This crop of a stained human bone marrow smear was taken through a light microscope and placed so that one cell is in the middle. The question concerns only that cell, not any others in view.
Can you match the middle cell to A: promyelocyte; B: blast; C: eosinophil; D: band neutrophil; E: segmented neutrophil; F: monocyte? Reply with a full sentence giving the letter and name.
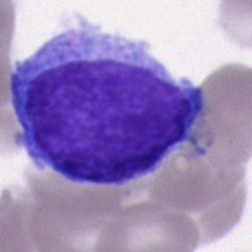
The central cell, a blast, is correctly identified by option B.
